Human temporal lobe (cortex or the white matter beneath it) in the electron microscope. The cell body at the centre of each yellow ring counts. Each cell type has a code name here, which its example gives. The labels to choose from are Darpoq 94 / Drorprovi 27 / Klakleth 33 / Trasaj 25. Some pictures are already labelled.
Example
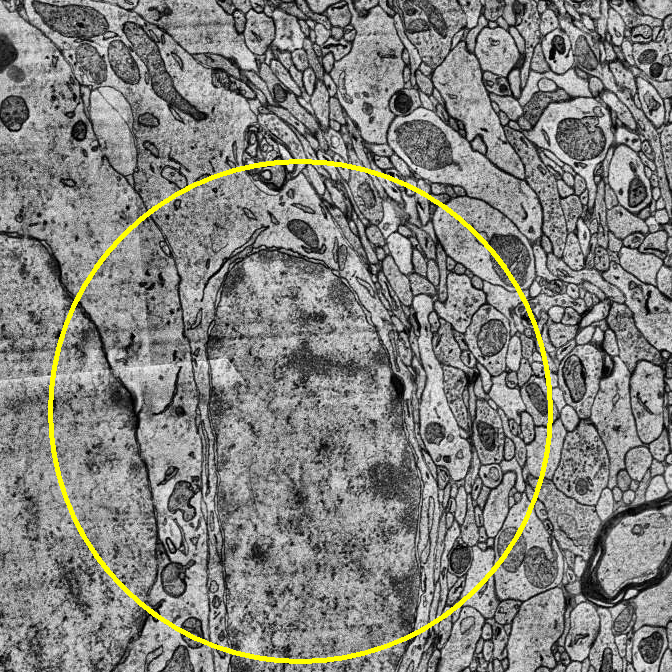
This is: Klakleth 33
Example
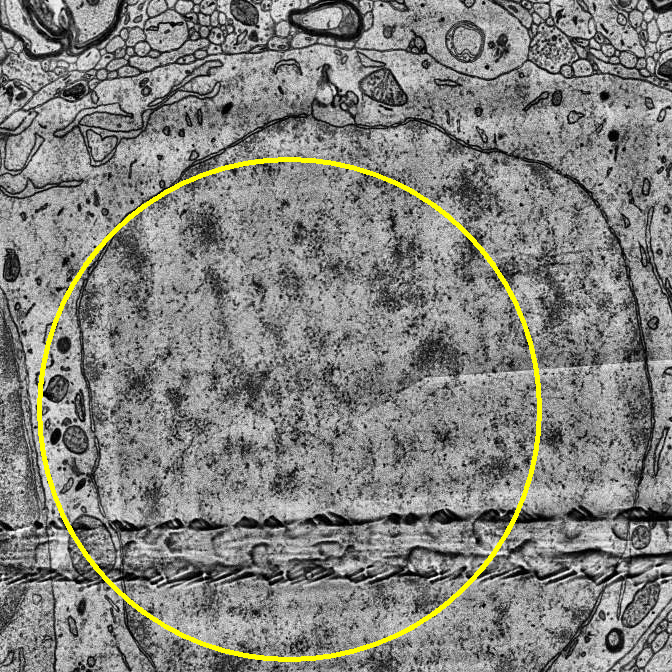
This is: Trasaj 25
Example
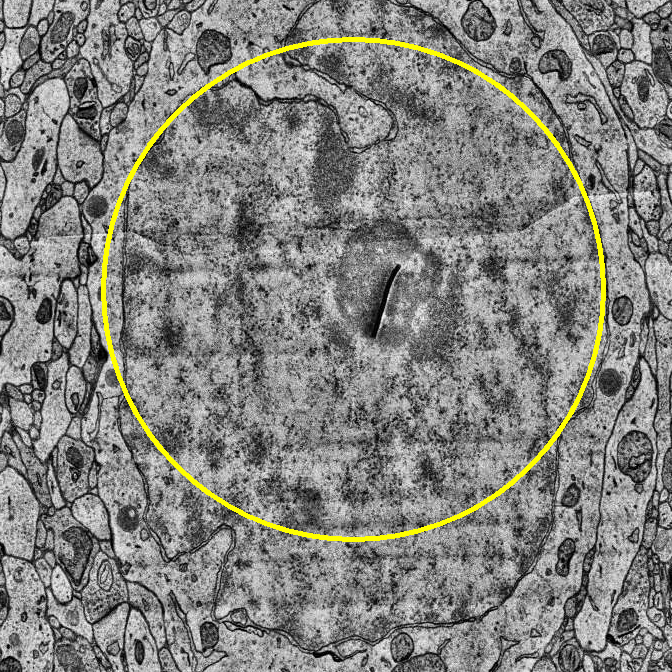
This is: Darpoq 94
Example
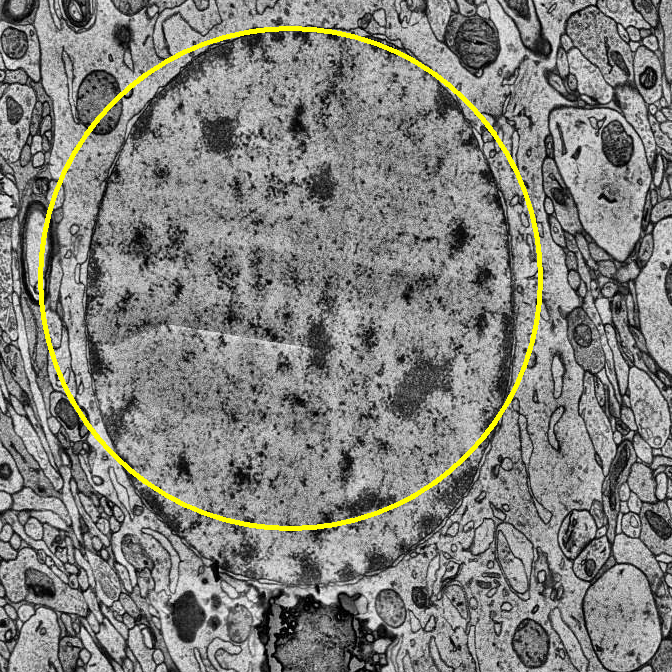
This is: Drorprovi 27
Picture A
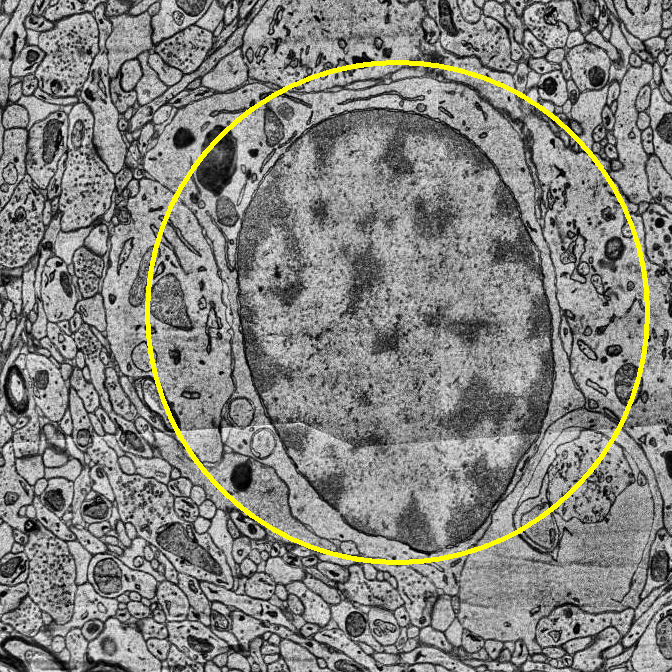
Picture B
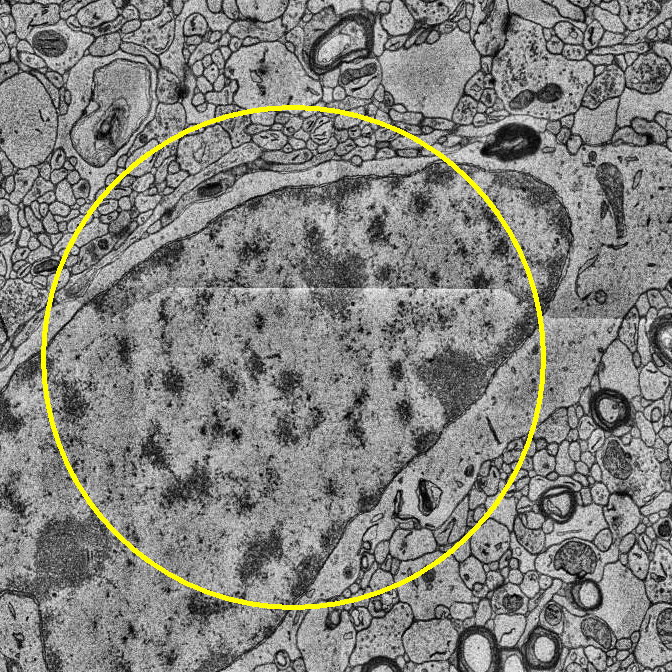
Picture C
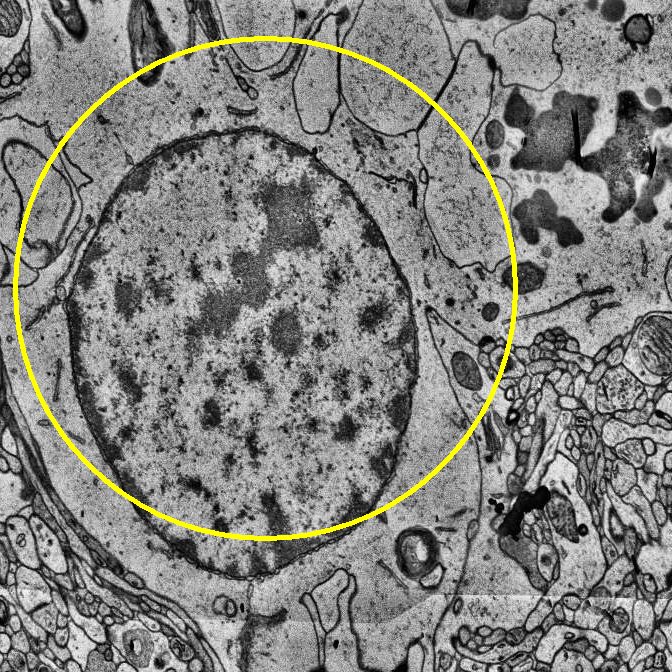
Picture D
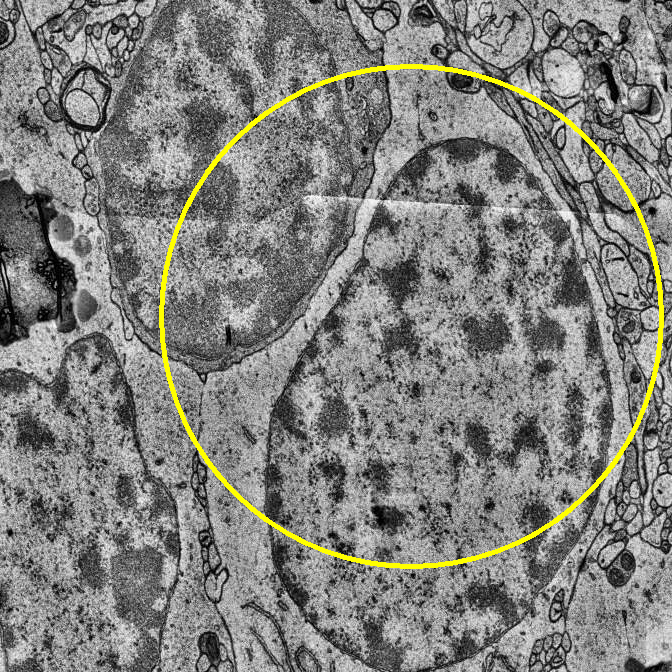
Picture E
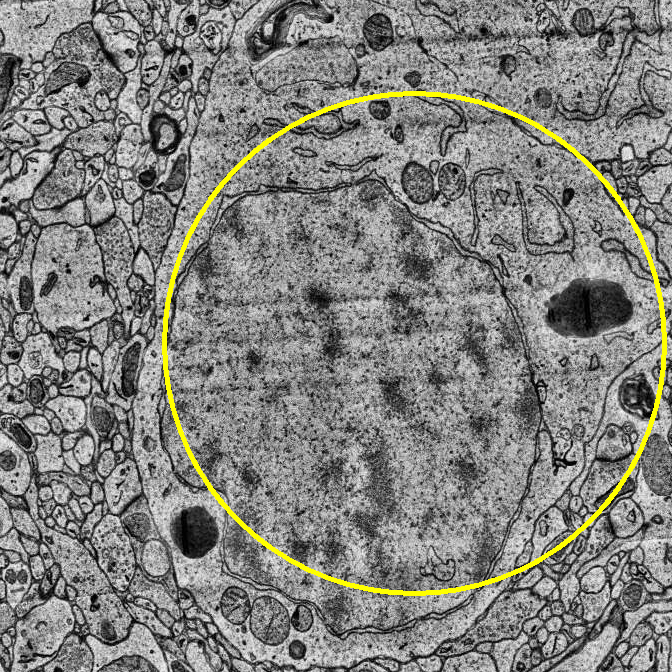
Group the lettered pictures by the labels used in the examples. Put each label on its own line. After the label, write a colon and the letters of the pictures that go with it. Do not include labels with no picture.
Darpoq 94: E
Drorprovi 27: C, D
Klakleth 33: A, B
